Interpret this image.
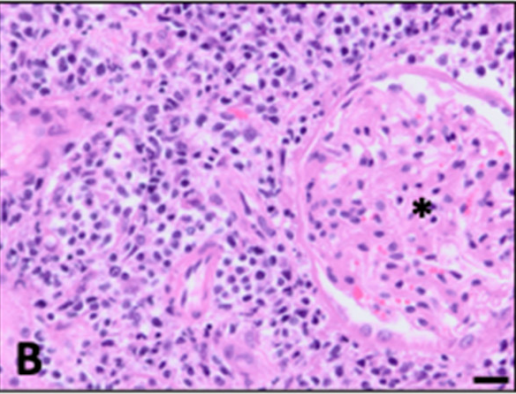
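This is renal cortex in which the interstitium is filled by sheets of densely packed round cells with dark round nuclei and scant cytoplasm. Among these cells a glomerulus remains intact, its capillary tuft lying inside a thin Bowman's capsule with a clear space between them. Few tubules are recognisable, as the cellular infiltrate has replaced much of the interstitium around the glomerulus.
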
